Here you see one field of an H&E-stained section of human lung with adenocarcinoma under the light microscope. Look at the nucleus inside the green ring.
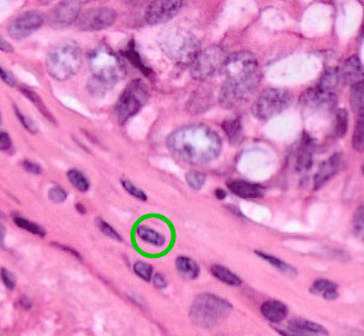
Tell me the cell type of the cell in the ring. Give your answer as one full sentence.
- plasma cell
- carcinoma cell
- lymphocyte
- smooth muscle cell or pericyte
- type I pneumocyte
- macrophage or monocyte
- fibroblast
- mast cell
The cell in the ring is a mast cell.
